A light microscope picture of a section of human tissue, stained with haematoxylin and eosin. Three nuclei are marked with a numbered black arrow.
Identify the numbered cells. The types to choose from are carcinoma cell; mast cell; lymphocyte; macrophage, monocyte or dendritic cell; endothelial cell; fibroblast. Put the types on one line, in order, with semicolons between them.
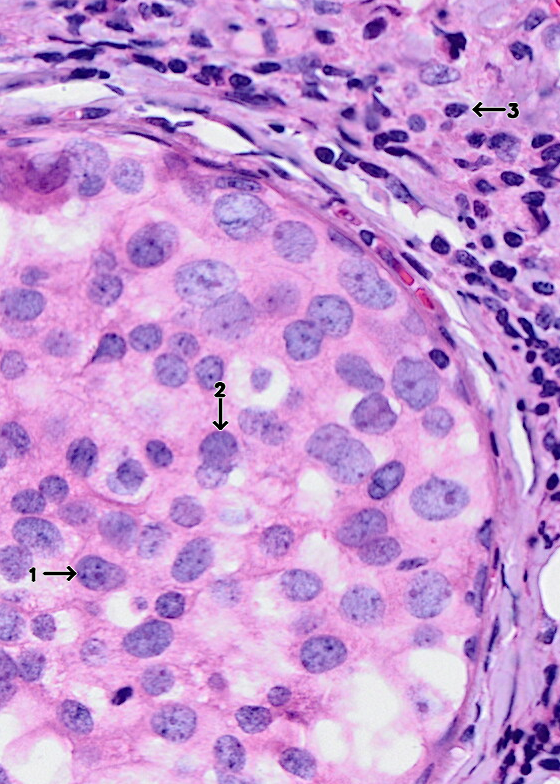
carcinoma cell; carcinoma cell; lymphocyte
